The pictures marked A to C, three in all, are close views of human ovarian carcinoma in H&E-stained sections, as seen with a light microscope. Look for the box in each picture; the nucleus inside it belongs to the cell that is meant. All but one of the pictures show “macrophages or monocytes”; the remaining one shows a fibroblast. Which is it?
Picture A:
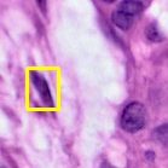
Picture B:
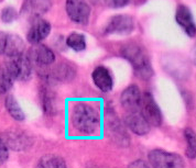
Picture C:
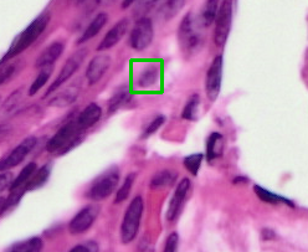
A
